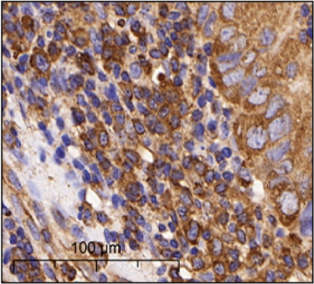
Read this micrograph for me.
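Tumor tissue at high magnification, made of densely crowded cells with little intervening stroma. Many cells have strongly brown-stained cytoplasm surrounding blue, oval to irregular nuclei of varying size, and a few elongated cells lie between them.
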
